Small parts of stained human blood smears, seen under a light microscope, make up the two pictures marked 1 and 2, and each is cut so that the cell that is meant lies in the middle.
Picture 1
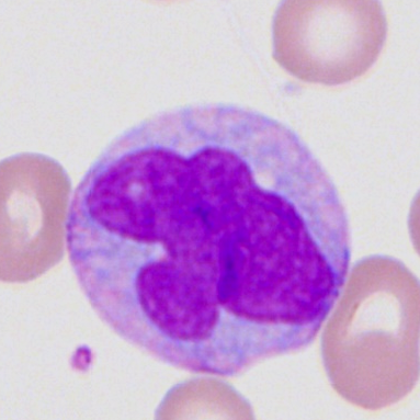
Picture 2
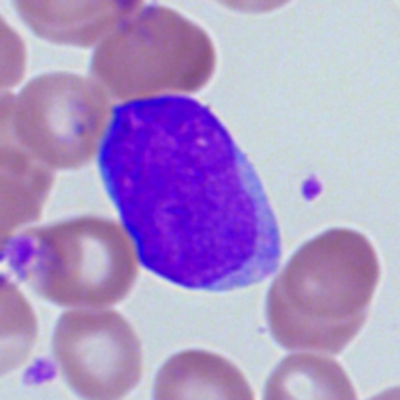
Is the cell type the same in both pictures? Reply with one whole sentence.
No; the cell in picture 1 is a monocyte, while the one in picture 2 is a myeloblast.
